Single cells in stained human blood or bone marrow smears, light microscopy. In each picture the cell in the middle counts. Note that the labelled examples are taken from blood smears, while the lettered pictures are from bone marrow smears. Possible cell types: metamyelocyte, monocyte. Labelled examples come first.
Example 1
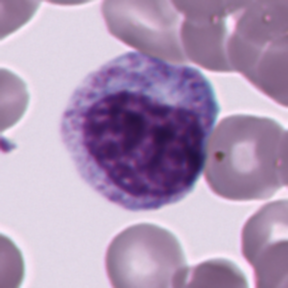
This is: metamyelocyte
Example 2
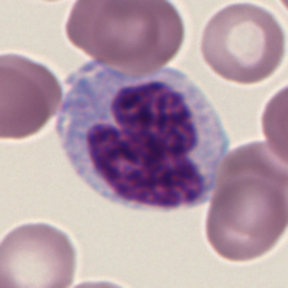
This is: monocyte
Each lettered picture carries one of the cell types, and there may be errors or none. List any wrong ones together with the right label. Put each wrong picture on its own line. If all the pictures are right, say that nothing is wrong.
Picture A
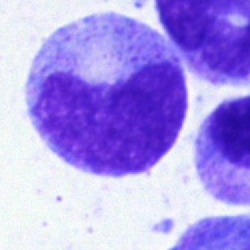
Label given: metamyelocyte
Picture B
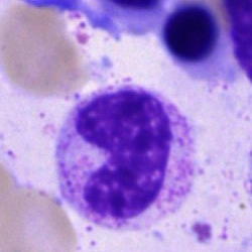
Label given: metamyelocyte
No label is wrong.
